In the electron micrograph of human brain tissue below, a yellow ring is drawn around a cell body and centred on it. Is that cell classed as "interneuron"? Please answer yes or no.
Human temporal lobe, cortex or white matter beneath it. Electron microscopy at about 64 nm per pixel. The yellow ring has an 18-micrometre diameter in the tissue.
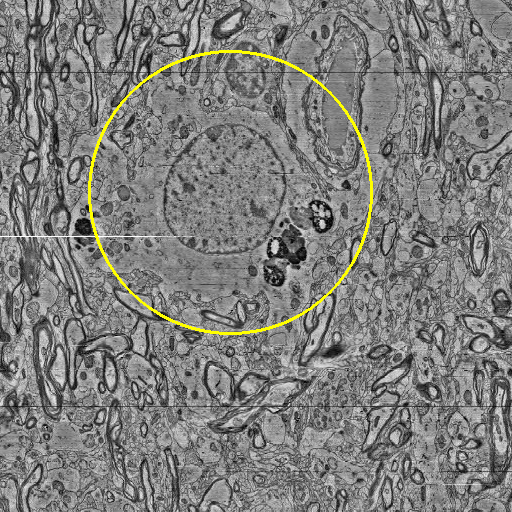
no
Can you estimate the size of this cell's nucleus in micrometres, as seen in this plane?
Roughly 9 micrometres by 8 micrometres, in this plane.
